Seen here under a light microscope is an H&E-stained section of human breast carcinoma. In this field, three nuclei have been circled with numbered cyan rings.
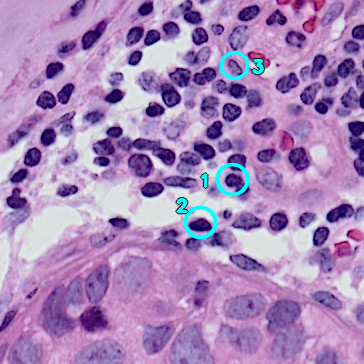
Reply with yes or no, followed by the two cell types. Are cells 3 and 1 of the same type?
No, cell 3 is an endothelial cell and cell 1 is a lymphocyte.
